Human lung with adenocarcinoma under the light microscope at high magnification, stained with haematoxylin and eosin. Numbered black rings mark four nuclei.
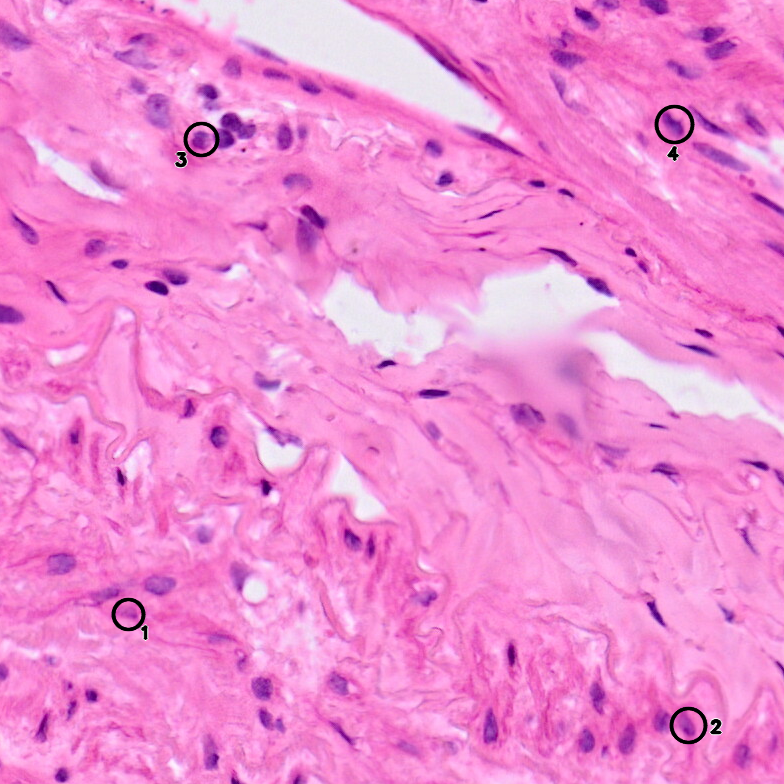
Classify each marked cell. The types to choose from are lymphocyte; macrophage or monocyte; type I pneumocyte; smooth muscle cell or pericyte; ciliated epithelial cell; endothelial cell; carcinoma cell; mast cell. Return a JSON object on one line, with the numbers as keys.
{"1": "smooth muscle cell or pericyte", "2": "smooth muscle cell or pericyte", "3": "lymphocyte", "4": "smooth muscle cell or pericyte"}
